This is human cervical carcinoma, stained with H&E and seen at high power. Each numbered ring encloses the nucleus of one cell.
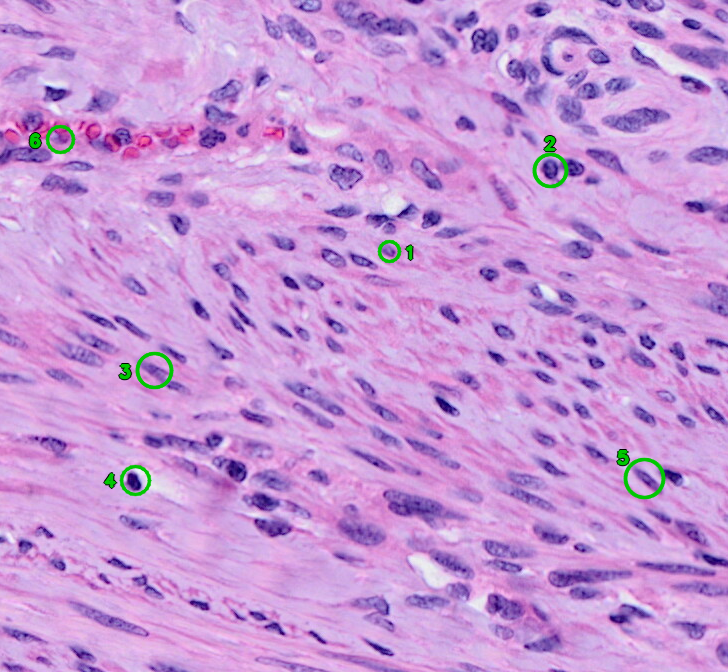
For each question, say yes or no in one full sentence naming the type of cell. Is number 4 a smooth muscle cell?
No, a lymphocyte, not a smooth muscle cell, is the cell with number 4.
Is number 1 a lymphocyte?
No, cell 1 is a smooth muscle cell and should not be called a lymphocyte.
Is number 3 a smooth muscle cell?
Yes, the one with the number 3 is a smooth muscle cell.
